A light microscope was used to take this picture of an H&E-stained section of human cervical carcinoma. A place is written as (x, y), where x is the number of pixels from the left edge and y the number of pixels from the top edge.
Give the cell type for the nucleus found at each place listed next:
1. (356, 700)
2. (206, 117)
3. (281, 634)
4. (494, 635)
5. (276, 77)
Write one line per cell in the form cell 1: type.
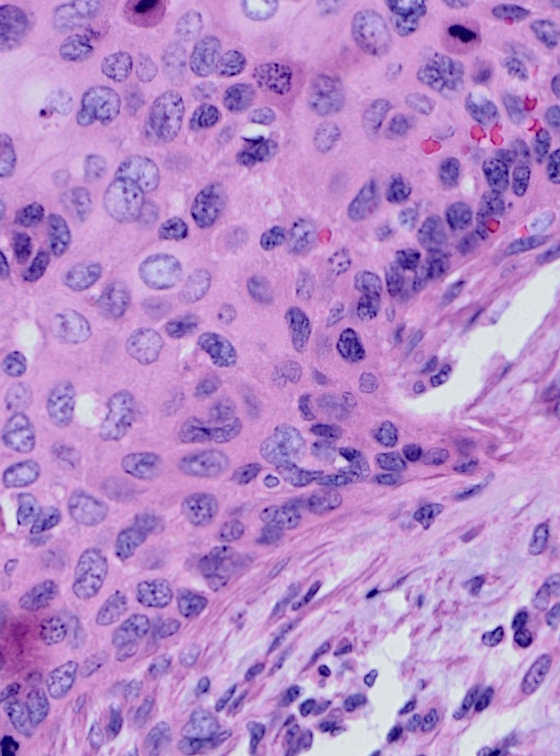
cell 1: lymphocyte
cell 2: squamous carcinoma cell
cell 3: fibroblast
cell 4: lymphocyte
cell 5: squamous carcinoma cell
